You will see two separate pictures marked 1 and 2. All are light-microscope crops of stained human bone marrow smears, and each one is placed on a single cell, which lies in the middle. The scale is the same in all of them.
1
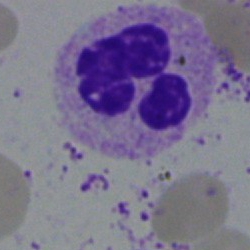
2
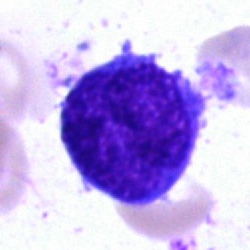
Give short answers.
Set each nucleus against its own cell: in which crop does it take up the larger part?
2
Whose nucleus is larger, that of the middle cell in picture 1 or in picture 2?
2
